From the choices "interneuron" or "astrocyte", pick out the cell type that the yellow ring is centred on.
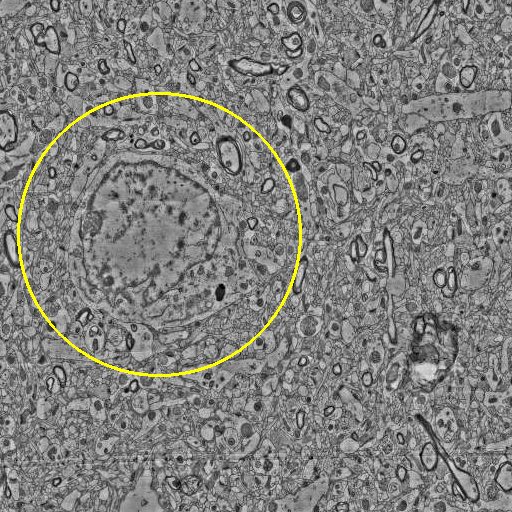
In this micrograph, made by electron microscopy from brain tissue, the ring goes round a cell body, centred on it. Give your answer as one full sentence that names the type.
The yellow ring is centred on an interneuron, whose cell body it encircles in the picture.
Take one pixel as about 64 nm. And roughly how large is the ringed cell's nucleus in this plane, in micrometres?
Roughly 9 micrometers across in this plane.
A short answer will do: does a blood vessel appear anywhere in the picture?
No, none appears.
